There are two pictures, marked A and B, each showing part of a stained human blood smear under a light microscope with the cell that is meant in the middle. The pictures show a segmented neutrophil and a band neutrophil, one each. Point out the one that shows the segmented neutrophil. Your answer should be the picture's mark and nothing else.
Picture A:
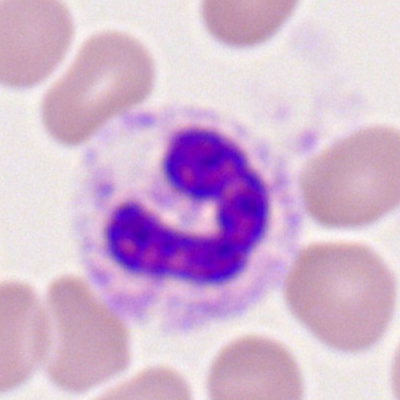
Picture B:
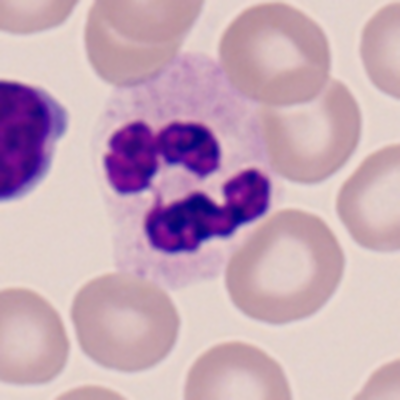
B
